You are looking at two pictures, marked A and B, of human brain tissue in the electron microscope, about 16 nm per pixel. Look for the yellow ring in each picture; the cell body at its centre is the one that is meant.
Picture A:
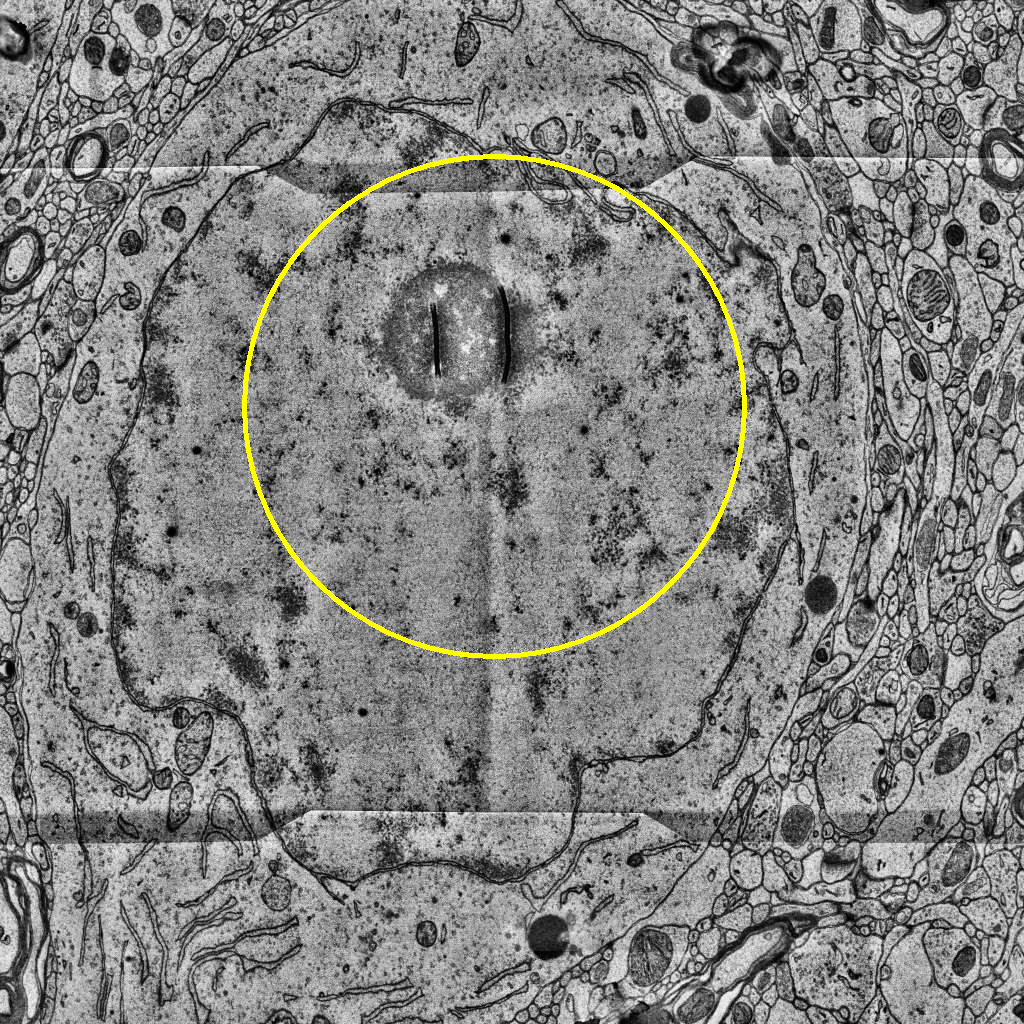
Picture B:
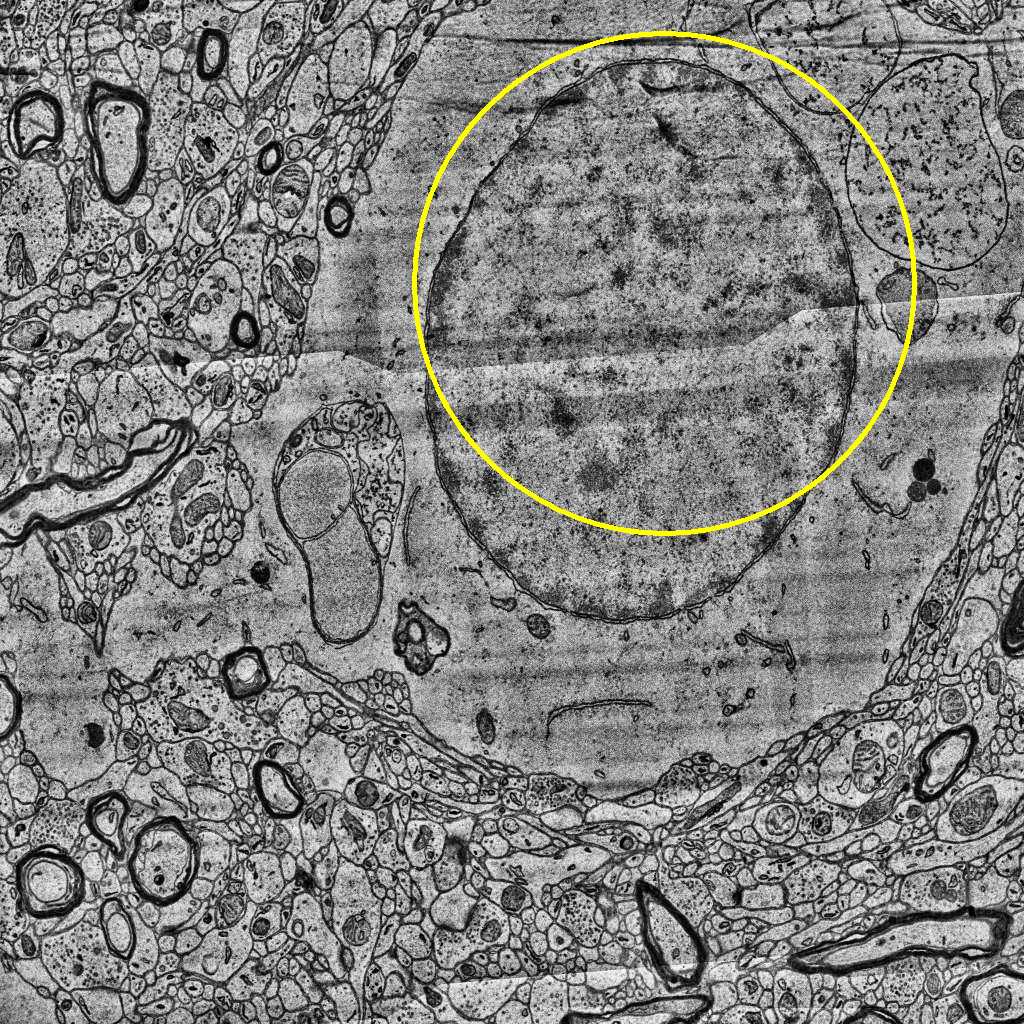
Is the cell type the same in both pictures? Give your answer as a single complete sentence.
No. Picture A shows an interneuron, but picture B shows an astrocyte.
